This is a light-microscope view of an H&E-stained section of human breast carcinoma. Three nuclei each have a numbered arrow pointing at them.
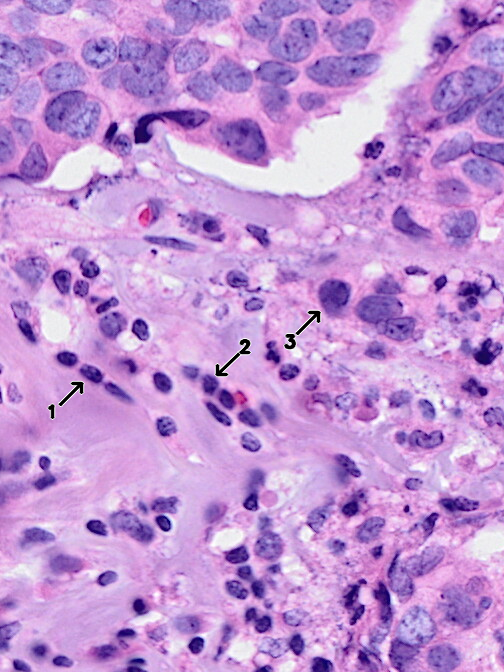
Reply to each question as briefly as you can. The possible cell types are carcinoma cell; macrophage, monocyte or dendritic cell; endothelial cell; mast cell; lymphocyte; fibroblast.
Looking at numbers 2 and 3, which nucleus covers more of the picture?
3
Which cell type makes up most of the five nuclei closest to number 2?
lymphocyte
